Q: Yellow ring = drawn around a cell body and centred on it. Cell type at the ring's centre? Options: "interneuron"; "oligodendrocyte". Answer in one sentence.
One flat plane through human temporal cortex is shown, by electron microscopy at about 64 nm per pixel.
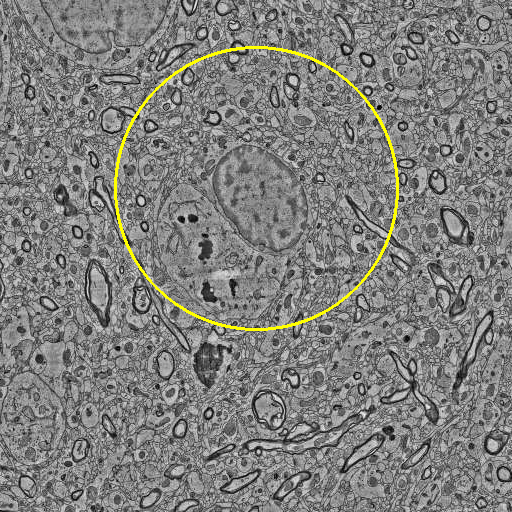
Centred in the ring is an oligodendrocyte.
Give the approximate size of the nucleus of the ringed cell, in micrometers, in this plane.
The nucleus appears roughly 7 by 5 micrometres in this plane.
